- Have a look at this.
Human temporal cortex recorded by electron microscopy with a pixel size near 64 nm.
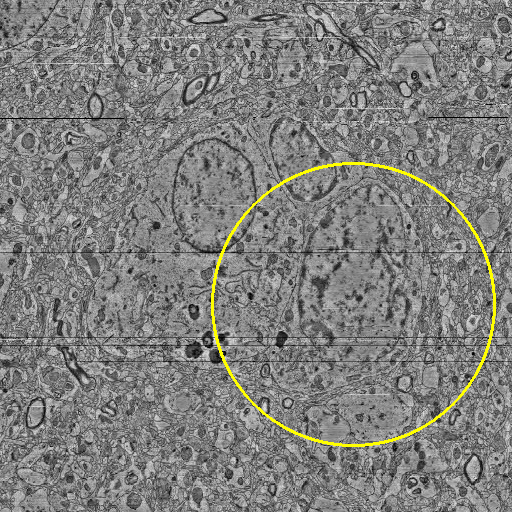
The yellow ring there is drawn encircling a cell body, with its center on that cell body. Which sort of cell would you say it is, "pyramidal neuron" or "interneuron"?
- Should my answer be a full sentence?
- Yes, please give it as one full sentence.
For this picture, an interneuron is the cell where the yellow ring has its center.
